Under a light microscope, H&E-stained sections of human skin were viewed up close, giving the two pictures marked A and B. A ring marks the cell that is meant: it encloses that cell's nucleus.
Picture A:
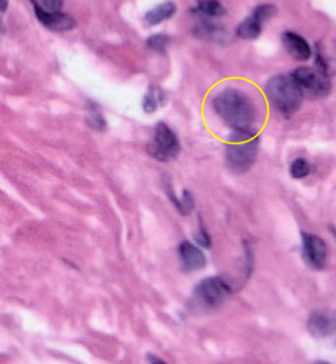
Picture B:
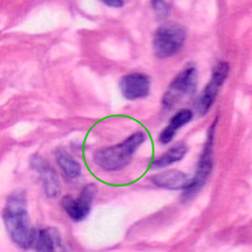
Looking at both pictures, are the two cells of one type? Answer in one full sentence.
Yes, both are endothelial cells.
